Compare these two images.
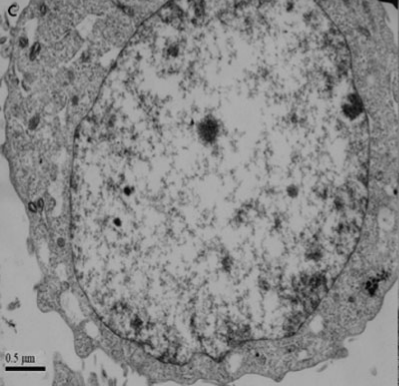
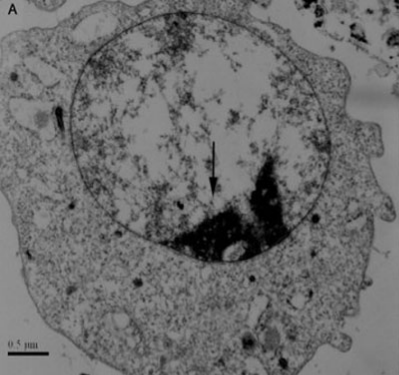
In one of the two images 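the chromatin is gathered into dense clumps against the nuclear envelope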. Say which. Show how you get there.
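Second image: a large black chromatin mass lies pressed against the nuclear rim.
The second image.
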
